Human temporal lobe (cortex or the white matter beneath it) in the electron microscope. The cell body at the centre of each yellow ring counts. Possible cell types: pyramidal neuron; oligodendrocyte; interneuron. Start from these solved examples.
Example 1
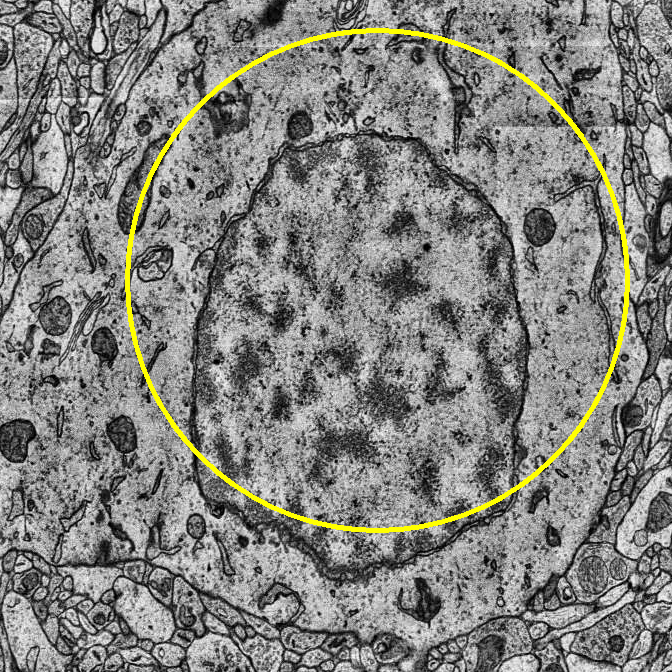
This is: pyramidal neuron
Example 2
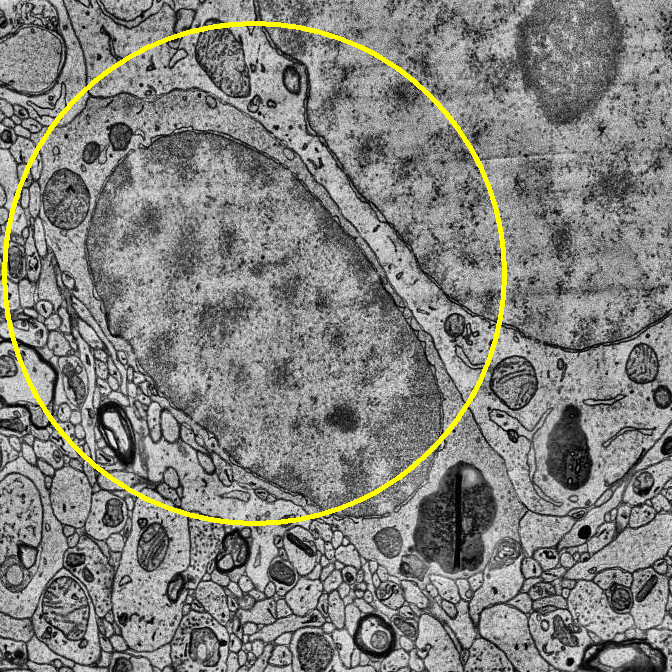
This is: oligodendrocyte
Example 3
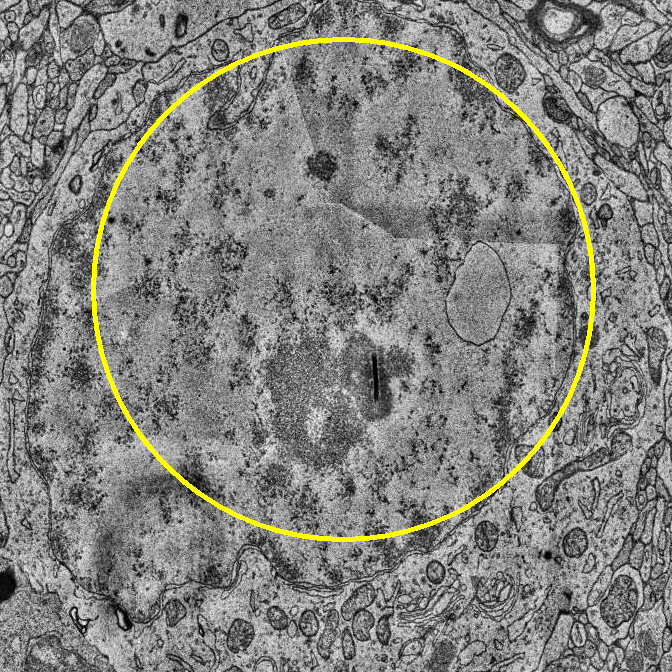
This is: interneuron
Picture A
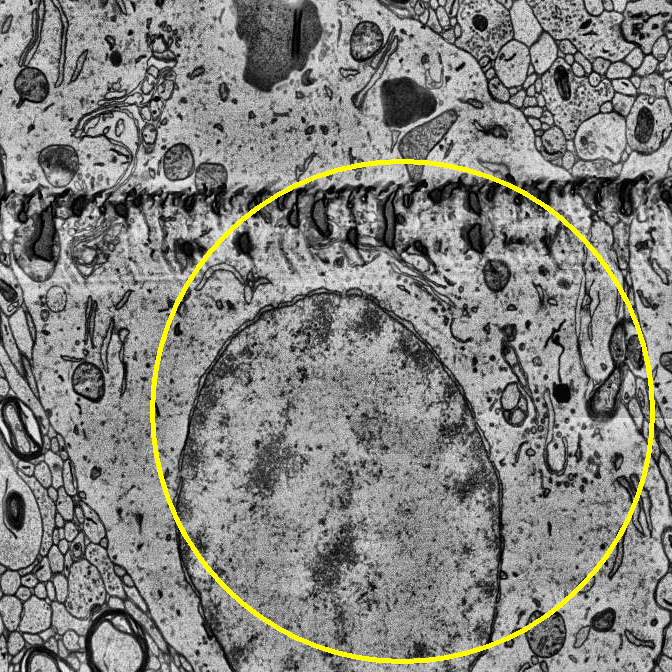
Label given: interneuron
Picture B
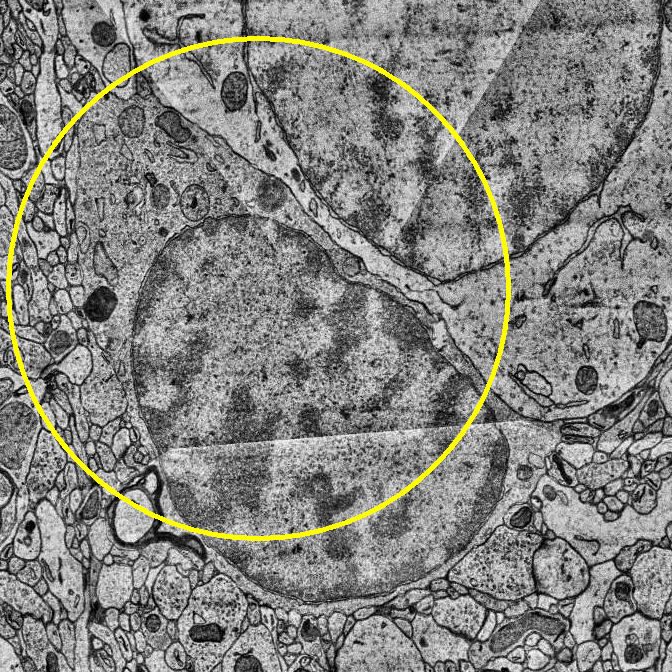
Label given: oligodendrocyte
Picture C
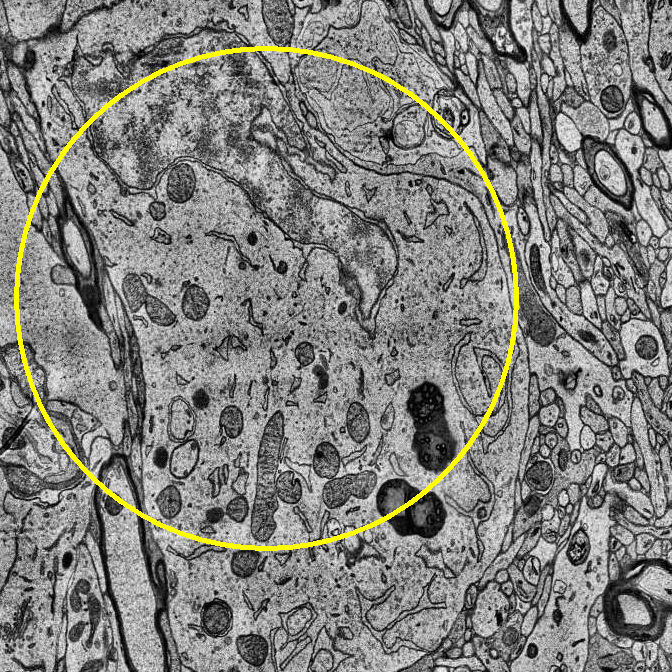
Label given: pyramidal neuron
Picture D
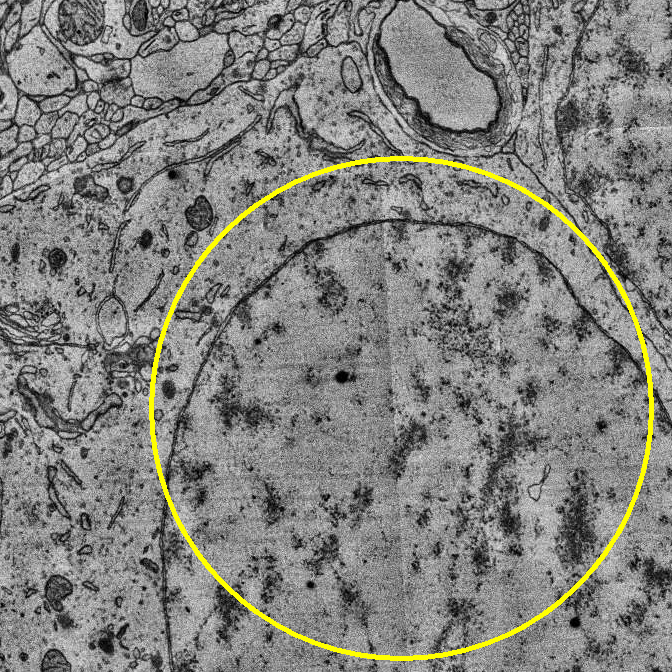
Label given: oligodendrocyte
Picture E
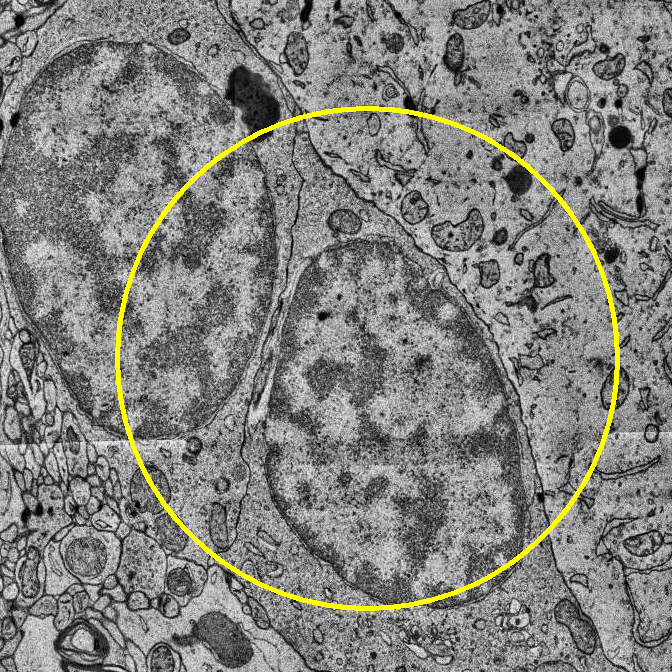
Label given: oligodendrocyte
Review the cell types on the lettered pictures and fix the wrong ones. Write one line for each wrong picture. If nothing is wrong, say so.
C: change pyramidal neuron to interneuron
D: change oligodendrocyte to pyramidal neuron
